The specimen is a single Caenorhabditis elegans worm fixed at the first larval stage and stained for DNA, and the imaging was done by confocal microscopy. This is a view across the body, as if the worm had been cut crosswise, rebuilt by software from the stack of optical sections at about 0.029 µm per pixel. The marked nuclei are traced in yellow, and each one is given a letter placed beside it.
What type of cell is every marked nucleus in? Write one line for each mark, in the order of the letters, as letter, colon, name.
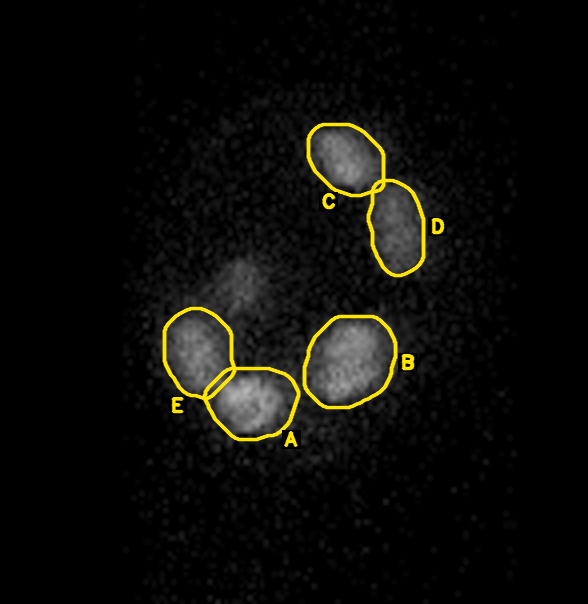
A: body wall muscle cell
B: somatic gonad precursor
C: body wall muscle cell
D: hypodermal cell (hyp)
E: P cell (ventral epidermal blast cell)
